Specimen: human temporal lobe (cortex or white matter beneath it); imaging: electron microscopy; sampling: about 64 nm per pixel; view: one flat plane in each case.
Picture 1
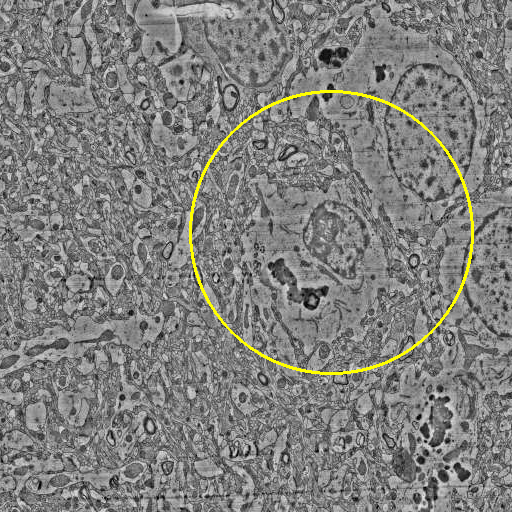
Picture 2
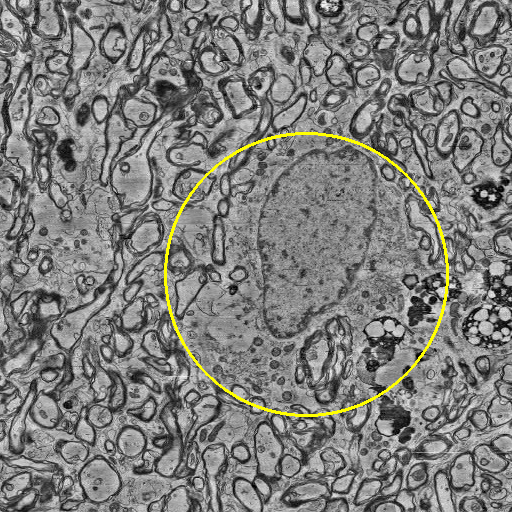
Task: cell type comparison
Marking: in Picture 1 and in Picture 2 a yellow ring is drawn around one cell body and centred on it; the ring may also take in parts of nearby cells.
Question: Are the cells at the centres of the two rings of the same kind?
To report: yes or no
yes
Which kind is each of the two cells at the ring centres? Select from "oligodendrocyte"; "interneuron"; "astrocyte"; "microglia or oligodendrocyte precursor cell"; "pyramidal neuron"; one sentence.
Each of the two pictures has an astrocyte at the ring centre.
